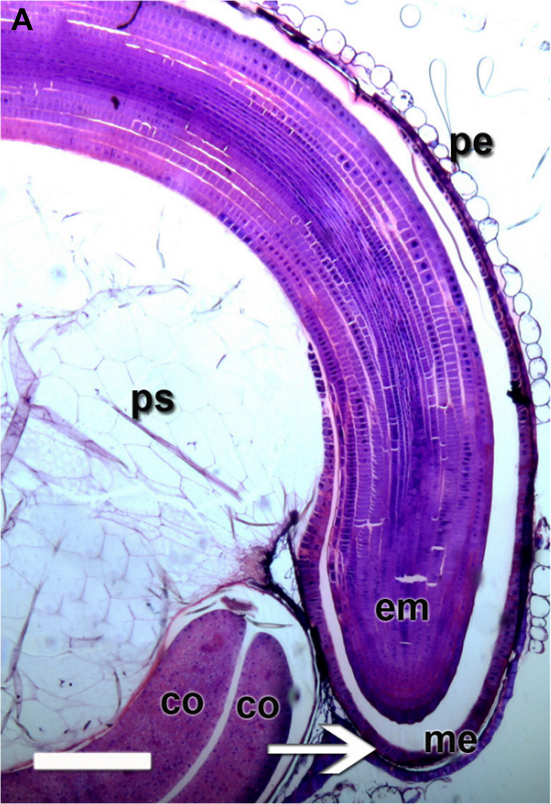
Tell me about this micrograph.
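This section of a seed shows a curved embryo, with its root end bending down alongside the cotyledons. On the inside of the curve, the perisperm is made of large, pale, thin-walled polygonal cells. The embryo itself is built of many long files of small, purple-stained cells. Around the root tip runs a thin endosperm layer, separated from the embryo by a narrow clear gap, and outside it lies the pericarp, with a row of bubble-like, rounded empty cells on its outer surface.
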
